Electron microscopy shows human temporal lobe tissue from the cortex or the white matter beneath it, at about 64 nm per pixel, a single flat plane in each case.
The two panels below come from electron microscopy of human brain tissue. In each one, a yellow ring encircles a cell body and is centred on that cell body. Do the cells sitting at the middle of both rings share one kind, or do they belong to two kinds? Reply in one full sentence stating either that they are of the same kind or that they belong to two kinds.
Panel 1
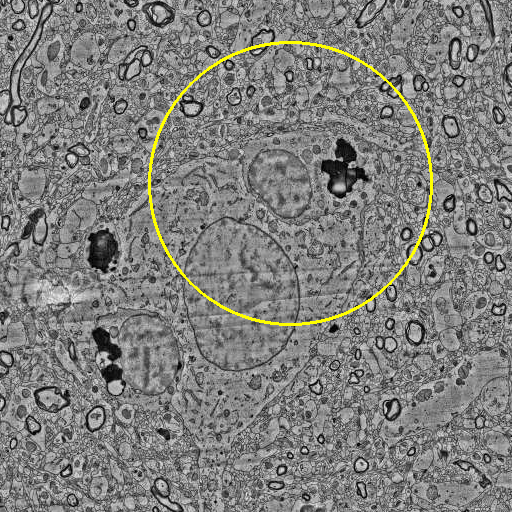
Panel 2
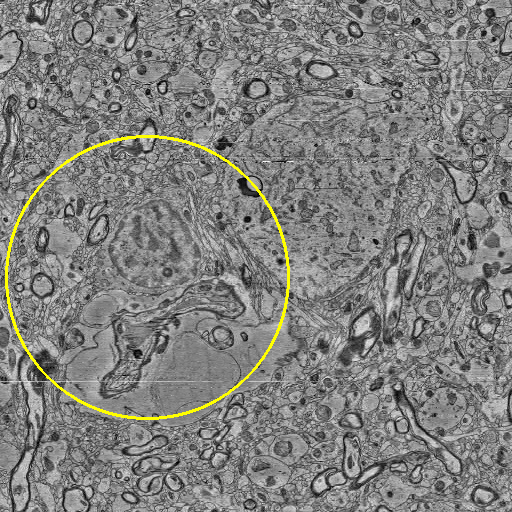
The cells at the centres of the two rings are of the same kind.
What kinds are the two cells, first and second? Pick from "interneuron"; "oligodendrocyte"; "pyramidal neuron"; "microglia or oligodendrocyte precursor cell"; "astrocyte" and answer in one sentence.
In the first picture and in the second, the ring is centred on an oligodendrocyte.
